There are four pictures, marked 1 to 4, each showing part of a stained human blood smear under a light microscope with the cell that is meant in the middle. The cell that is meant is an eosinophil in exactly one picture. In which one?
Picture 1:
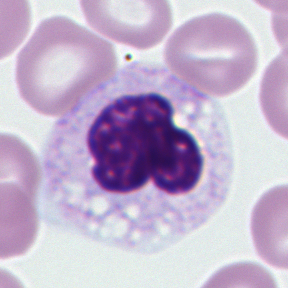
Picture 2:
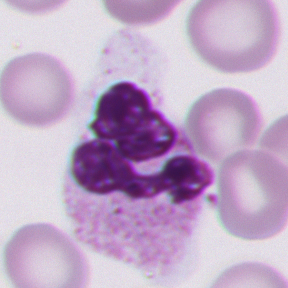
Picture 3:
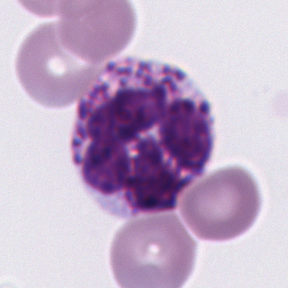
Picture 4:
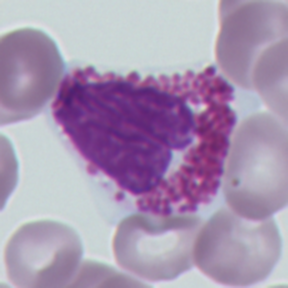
4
